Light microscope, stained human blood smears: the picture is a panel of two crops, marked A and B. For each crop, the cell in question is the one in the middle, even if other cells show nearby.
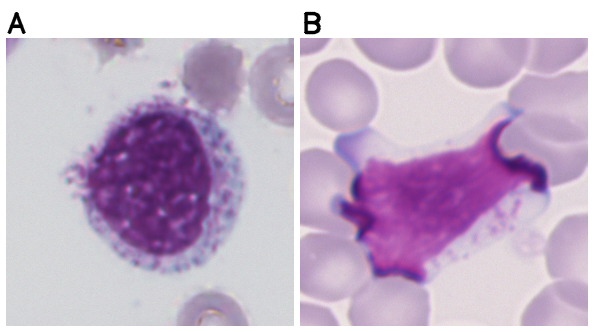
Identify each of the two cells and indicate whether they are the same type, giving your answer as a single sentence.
No, crop A carries a myelocyte at its centre, and crop B carries a large granular lymphocyte.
